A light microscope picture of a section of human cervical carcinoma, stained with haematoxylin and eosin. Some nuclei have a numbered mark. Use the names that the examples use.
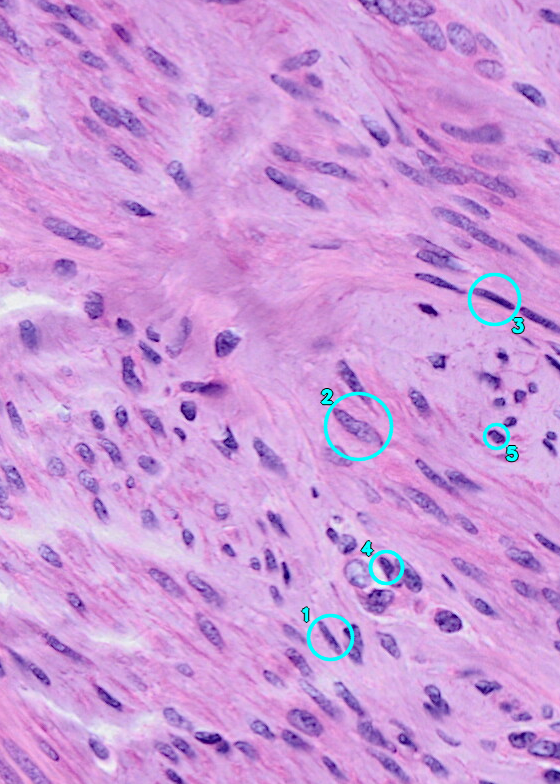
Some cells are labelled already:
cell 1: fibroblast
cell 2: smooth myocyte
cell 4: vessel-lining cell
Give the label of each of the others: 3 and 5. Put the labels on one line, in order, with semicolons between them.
fibroblast; smooth myocyte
